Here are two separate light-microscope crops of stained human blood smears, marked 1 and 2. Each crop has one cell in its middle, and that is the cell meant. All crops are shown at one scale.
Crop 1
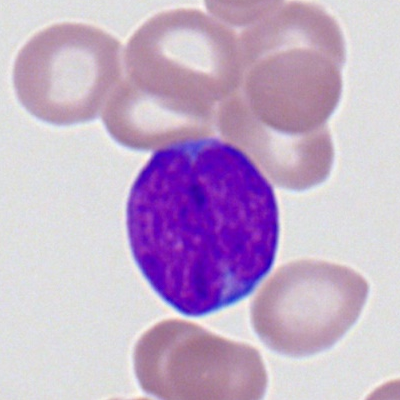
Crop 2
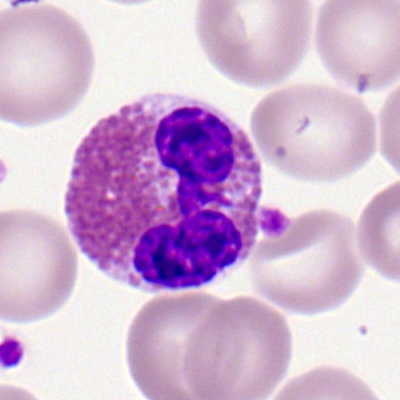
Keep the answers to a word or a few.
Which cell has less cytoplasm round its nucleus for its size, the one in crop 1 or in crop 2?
1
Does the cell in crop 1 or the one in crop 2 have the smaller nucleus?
2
